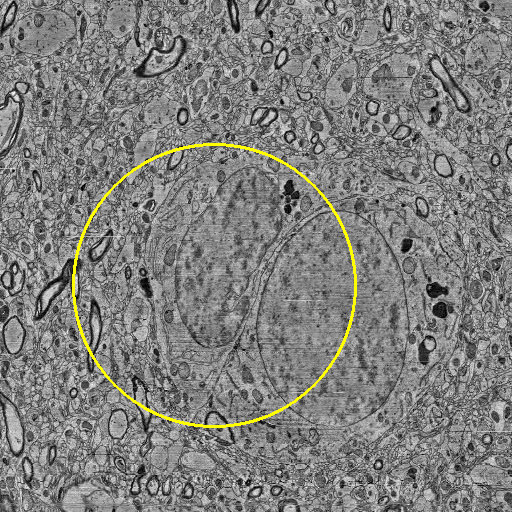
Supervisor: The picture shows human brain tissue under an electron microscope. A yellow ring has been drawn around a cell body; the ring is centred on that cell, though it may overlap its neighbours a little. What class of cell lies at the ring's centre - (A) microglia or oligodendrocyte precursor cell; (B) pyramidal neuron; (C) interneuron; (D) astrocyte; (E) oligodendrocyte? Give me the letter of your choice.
C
